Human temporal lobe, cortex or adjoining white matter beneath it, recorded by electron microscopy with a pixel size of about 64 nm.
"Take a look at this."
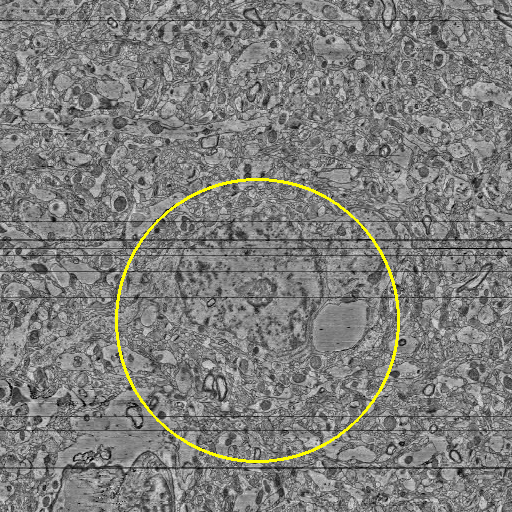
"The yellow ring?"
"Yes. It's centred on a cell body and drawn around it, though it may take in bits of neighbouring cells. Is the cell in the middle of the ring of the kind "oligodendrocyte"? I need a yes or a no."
No, it is of another kind.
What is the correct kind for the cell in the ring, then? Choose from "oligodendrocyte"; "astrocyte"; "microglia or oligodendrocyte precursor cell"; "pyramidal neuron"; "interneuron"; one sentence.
The cell ringed in the picture is an interneuron.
